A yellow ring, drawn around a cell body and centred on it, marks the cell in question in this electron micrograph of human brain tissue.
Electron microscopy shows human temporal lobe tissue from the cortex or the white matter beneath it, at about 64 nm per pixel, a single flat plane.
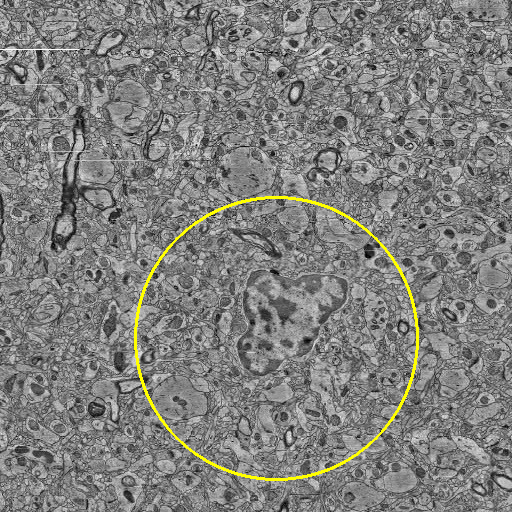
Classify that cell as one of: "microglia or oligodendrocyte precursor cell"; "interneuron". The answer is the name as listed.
microglia or oligodendrocyte precursor cell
